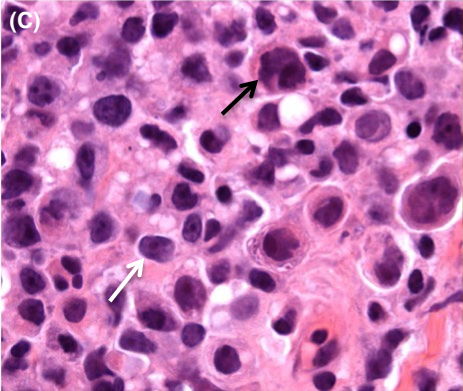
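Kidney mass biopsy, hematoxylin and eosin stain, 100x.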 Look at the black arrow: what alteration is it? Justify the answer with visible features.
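The marked cell is much larger than its neighbours. Its nucleus is very large and irregularly shaped.
Answer: forms containing very large, pleomorphic nuclei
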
